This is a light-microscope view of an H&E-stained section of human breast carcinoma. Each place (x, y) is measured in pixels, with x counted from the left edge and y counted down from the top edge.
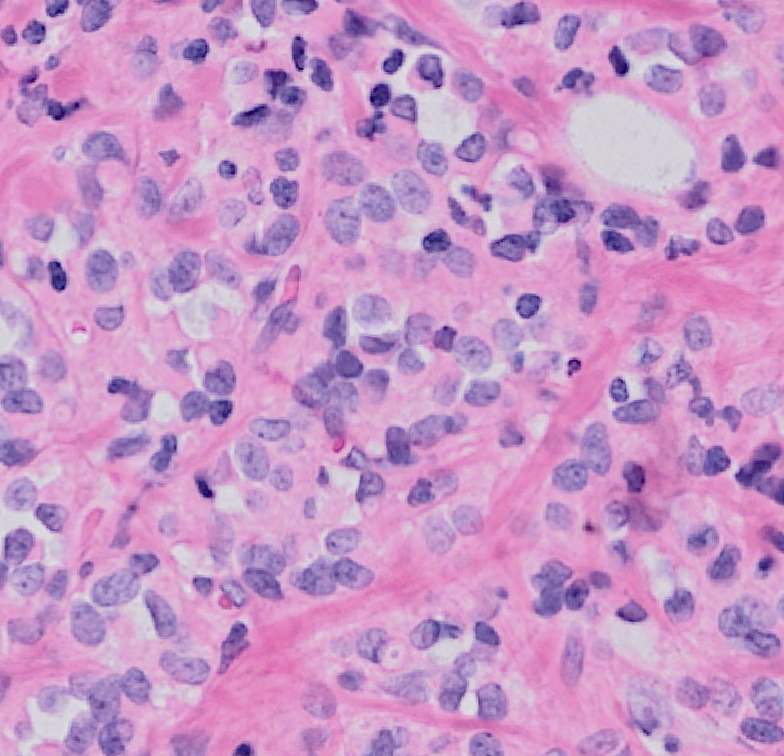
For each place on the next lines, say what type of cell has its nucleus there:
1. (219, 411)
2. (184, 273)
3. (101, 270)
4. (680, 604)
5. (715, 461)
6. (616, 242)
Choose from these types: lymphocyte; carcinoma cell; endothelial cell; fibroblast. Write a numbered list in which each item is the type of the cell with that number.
1. lymphocyte
2. carcinoma cell
3. carcinoma cell
4. carcinoma cell
5. lymphocyte
6. lymphocyte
